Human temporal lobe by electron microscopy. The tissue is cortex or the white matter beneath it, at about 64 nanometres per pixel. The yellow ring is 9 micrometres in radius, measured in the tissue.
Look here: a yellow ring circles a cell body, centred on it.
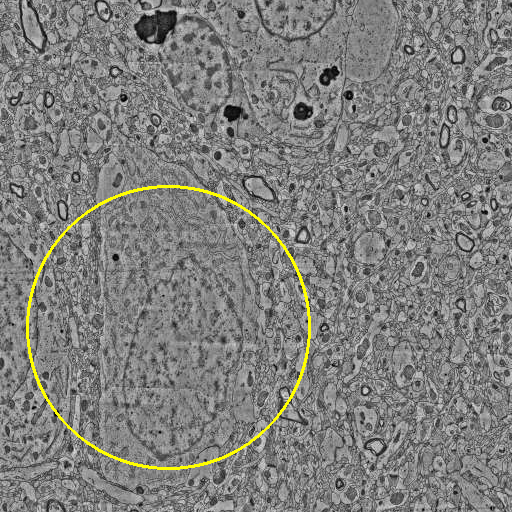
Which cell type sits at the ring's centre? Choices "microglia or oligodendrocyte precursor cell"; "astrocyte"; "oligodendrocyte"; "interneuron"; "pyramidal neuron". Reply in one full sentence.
The cell at the centre of the yellow ring in the picture is an interneuron.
